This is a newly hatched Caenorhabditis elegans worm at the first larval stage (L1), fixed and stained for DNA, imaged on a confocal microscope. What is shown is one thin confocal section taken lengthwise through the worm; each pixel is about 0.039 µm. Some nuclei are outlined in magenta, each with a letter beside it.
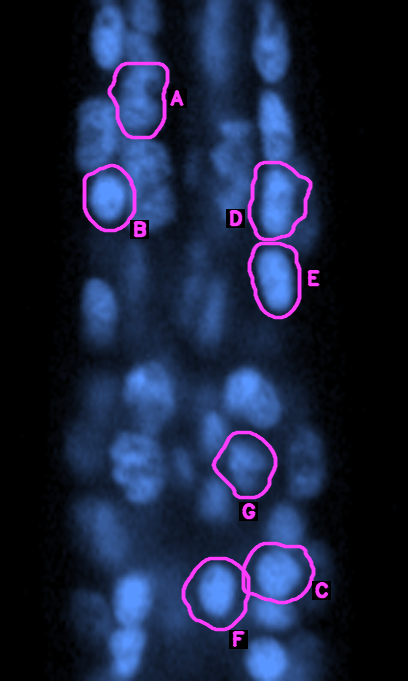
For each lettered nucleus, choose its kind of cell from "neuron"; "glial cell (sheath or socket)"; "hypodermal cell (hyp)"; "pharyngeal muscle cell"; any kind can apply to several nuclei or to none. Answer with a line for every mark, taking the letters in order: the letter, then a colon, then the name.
A: pharyngeal muscle cell
B: glial cell (sheath or socket)
C: neuron
D: glial cell (sheath or socket)
E: glial cell (sheath or socket)
F: neuron
G: pharyngeal muscle cell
